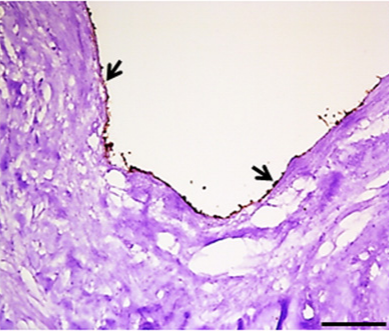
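The lining runs continuously along the curved free edge of the wall, one cell thick. Beneath it lies a loose, pale purple fibrous matrix with many clear spaces and few cells.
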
